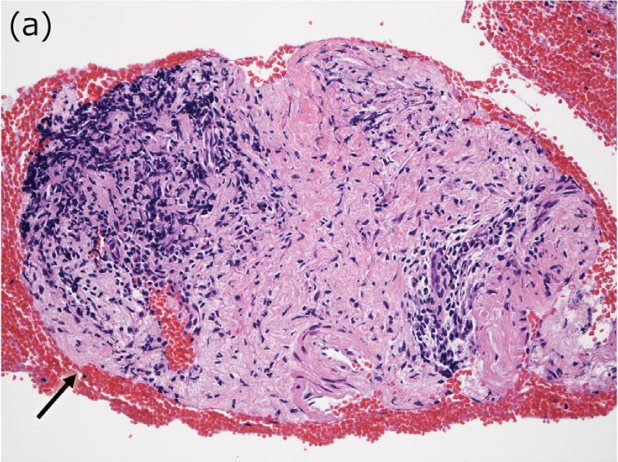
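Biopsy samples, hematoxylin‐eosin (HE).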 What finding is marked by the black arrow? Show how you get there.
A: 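A fragment of pink fibrous tissue with dense clusters of dark nuclei.
Conclusion: Obliterative phlebitis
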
